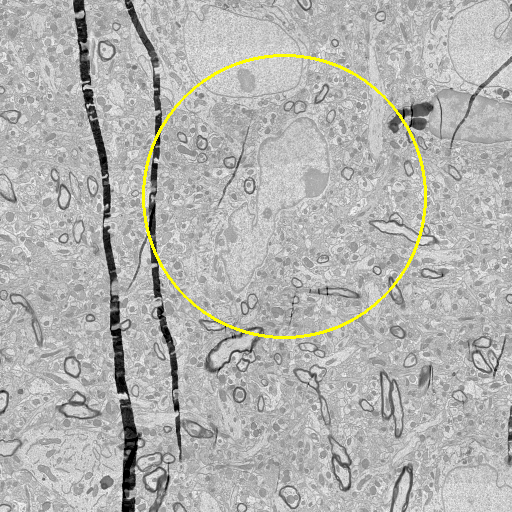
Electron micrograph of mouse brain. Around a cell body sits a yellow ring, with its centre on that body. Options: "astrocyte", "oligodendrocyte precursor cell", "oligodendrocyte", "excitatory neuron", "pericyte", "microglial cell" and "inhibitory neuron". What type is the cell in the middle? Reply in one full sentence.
The cell sitting at the centre of the yellow ring is an oligodendrocyte precursor cell.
